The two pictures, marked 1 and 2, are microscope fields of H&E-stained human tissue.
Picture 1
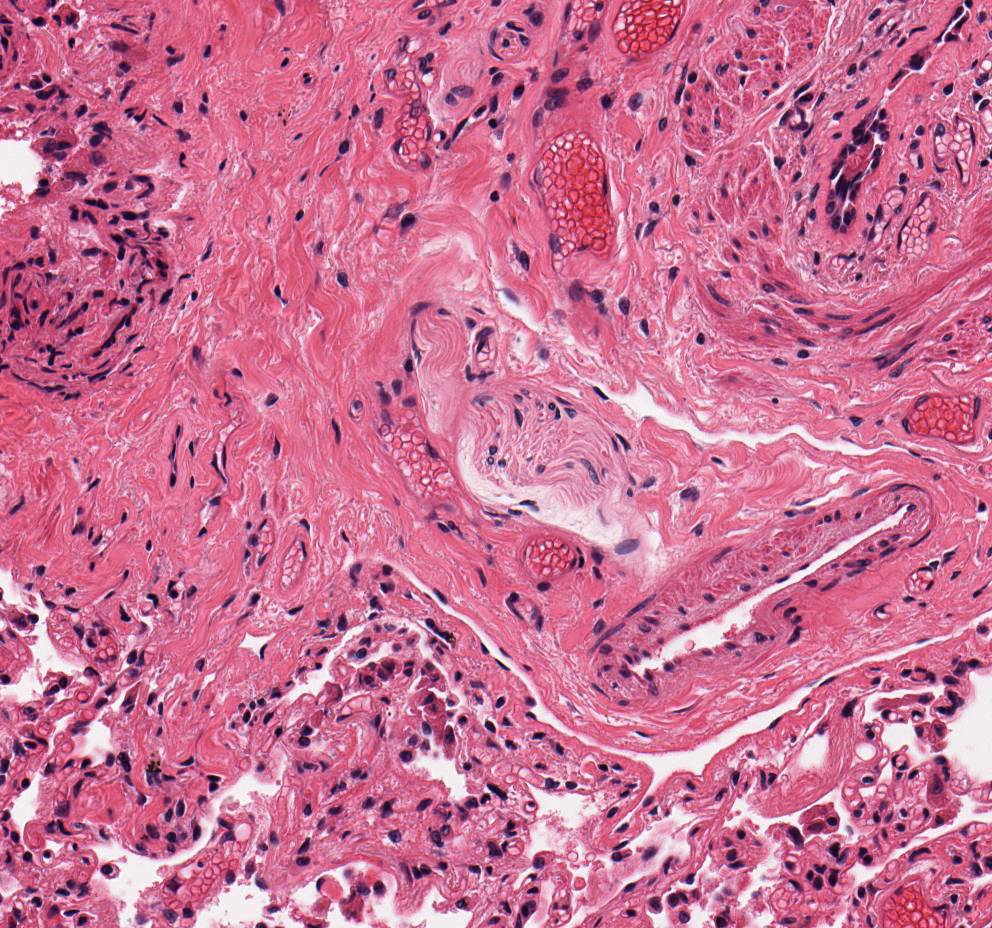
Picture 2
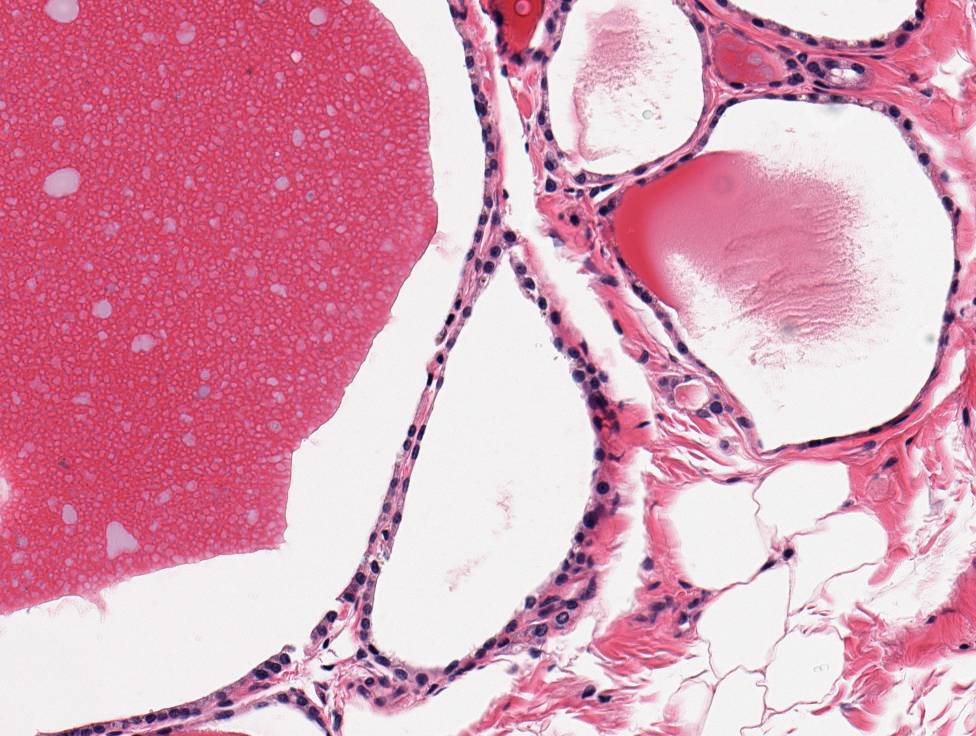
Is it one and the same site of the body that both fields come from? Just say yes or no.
no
